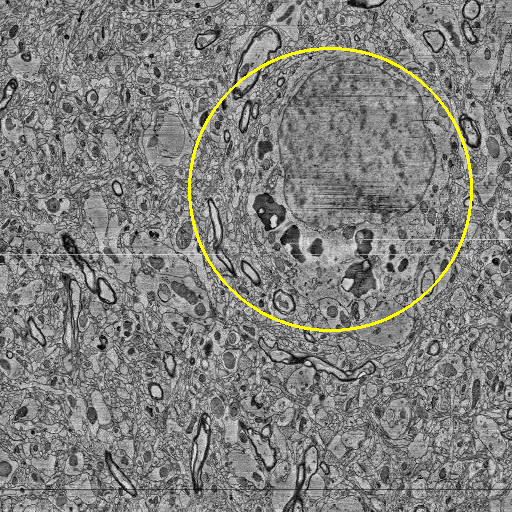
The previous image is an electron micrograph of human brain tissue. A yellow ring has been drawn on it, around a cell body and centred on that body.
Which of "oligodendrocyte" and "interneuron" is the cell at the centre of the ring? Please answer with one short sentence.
The cell body at the centre of the ring belongs to an interneuron.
